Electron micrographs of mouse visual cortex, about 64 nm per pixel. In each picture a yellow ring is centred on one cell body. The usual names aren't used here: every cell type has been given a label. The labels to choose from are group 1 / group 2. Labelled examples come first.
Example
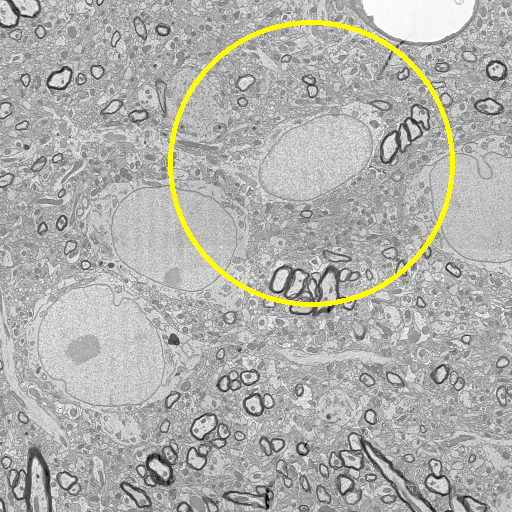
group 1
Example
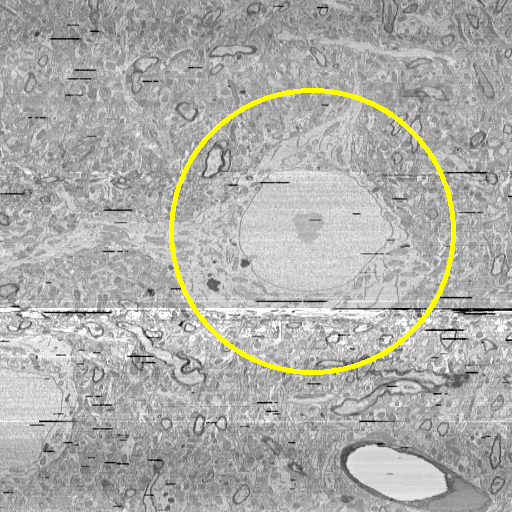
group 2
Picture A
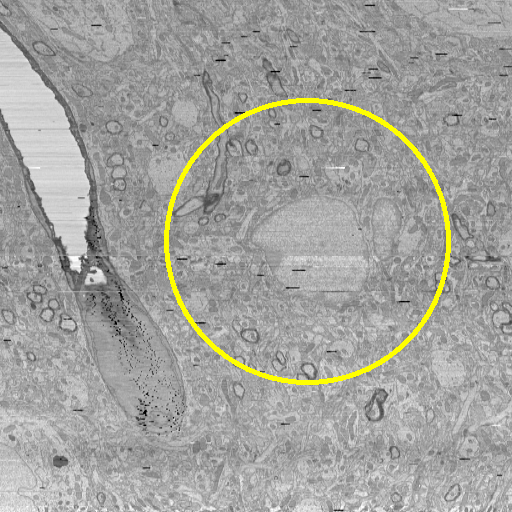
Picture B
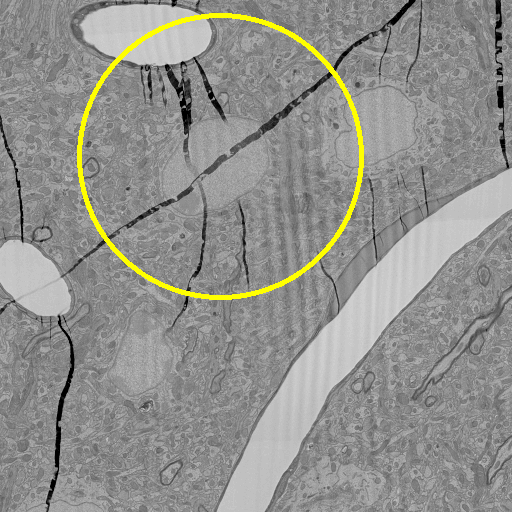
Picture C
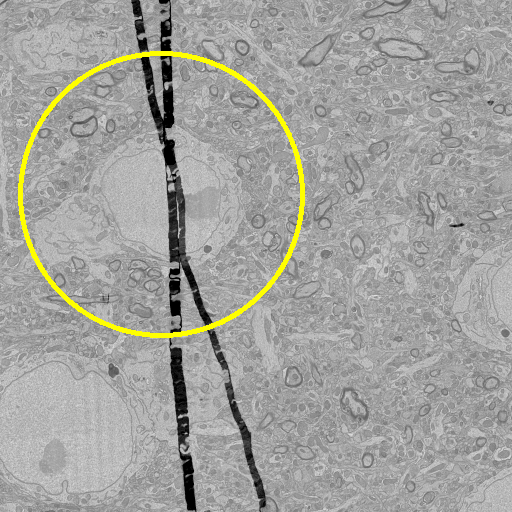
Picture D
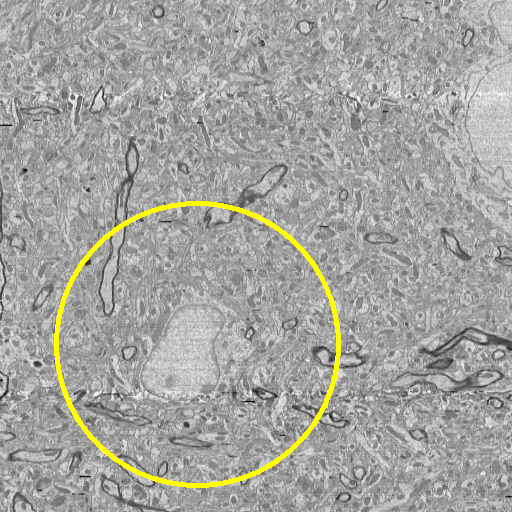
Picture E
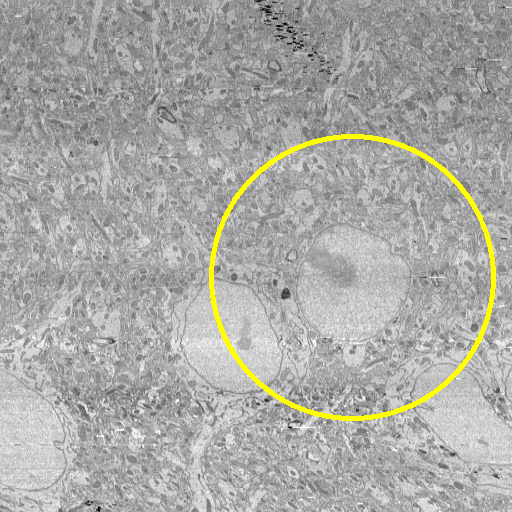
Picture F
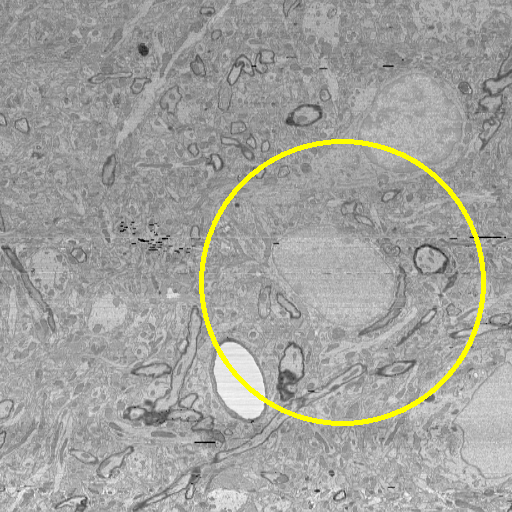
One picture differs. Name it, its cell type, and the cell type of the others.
Odd one out: C (group 2). The rest: group 1.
